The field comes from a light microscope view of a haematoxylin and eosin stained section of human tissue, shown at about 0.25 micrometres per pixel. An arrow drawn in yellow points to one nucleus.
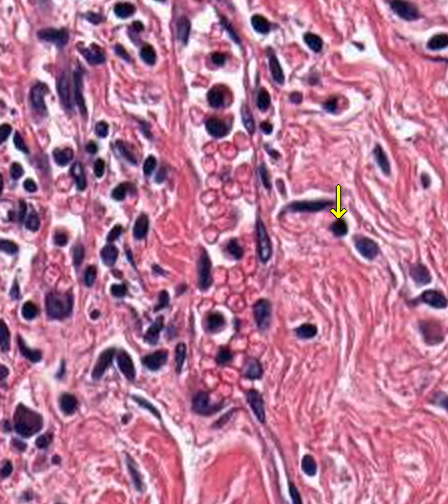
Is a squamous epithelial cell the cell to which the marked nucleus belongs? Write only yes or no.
no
